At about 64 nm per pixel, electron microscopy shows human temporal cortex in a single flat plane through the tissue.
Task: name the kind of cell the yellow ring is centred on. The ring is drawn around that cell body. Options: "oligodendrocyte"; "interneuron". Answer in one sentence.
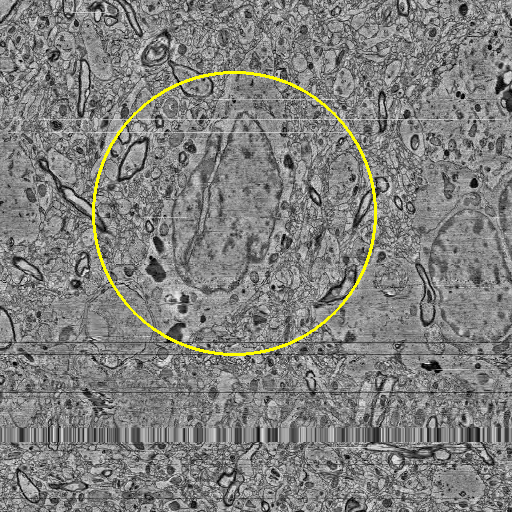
This cell body belongs to an interneuron.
